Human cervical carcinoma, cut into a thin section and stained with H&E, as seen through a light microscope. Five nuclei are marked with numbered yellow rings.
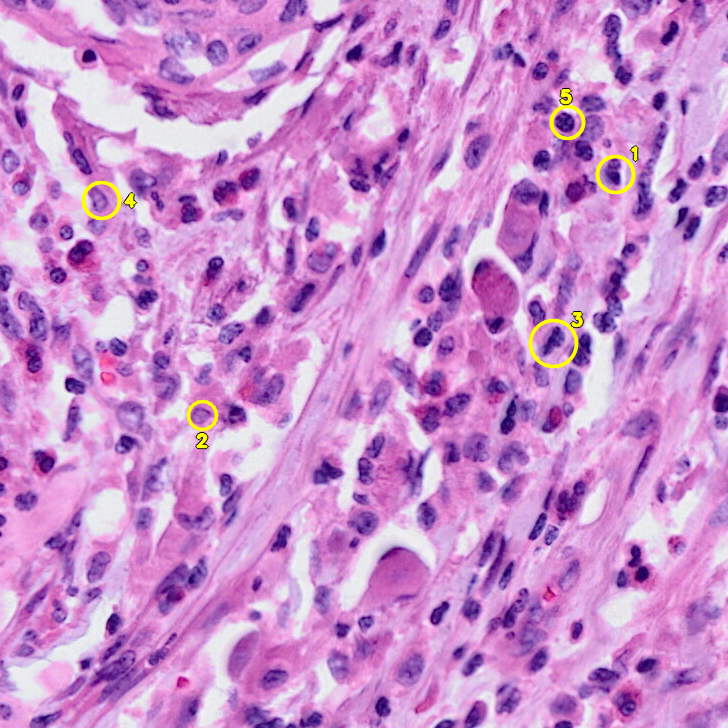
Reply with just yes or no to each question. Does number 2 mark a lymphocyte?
no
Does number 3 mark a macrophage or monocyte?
no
